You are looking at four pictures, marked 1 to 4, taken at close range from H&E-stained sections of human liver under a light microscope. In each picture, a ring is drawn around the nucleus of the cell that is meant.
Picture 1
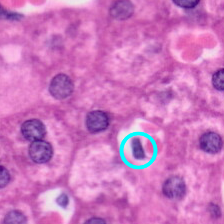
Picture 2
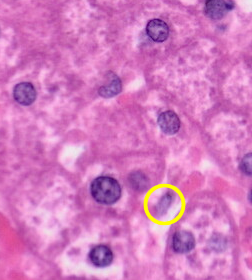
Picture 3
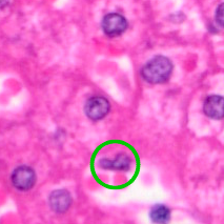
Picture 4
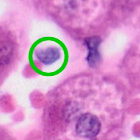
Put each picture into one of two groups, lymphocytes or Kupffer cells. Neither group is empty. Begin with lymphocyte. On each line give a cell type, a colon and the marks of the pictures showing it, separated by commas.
lymphocyte: 1, 4
Kupffer cell: 2, 3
